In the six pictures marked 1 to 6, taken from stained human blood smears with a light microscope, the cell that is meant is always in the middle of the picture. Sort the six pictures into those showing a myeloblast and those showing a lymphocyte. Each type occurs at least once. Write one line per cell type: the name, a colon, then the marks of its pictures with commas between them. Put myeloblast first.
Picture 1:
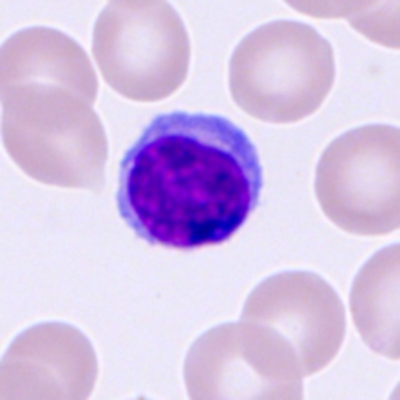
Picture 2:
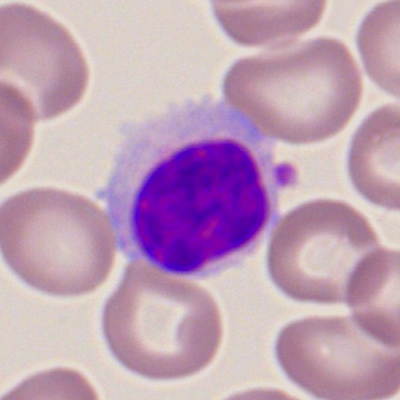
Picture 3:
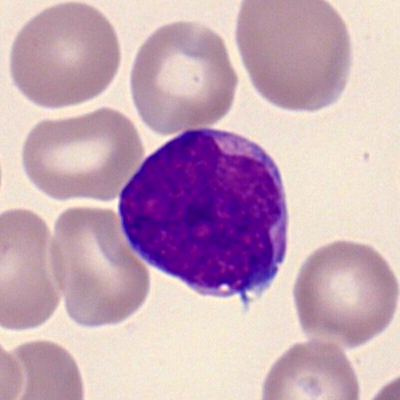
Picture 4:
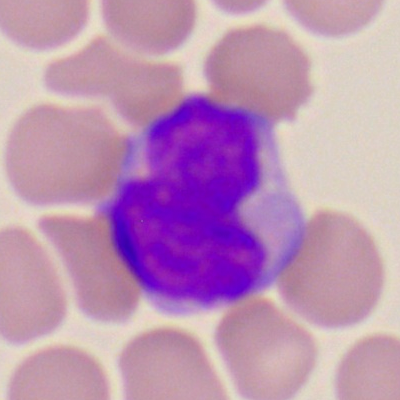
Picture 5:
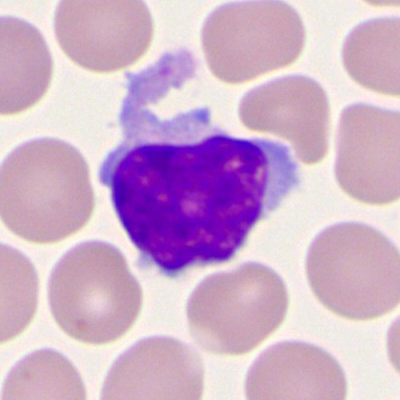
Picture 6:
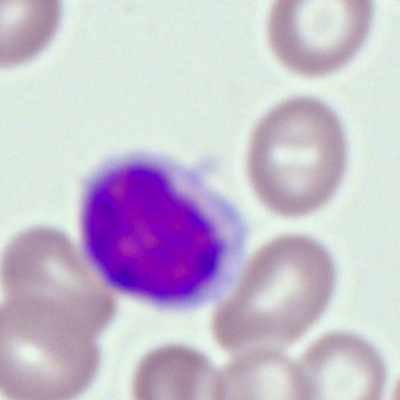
myeloblast: 3, 4
lymphocyte: 1, 2, 5, 6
